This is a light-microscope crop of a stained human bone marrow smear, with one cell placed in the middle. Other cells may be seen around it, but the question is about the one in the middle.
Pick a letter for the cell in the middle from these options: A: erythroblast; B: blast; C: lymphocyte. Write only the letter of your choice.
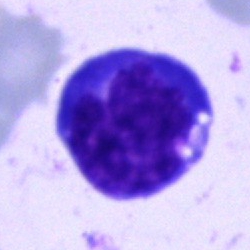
B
